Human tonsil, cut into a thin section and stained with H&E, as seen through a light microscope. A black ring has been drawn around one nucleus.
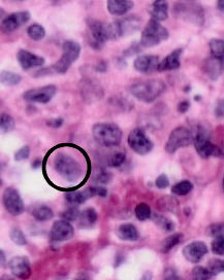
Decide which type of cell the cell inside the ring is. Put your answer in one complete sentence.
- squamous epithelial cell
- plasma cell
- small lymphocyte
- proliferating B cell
This is a proliferating B cell.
